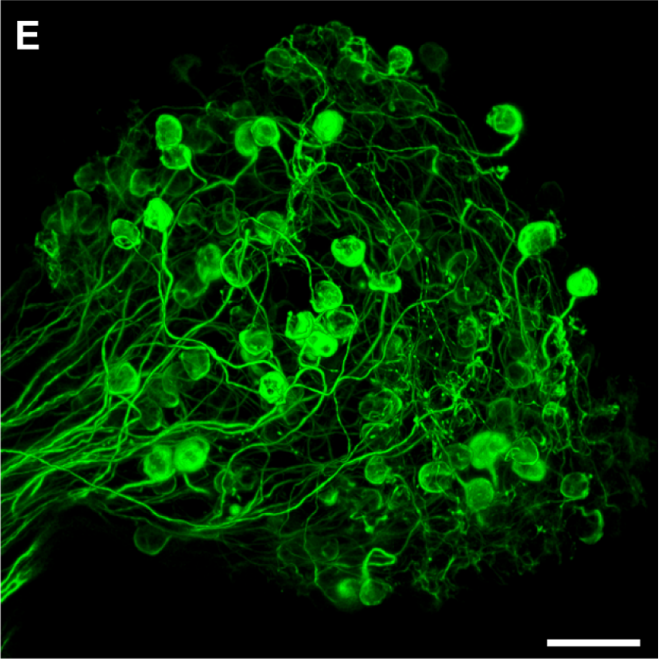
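Many thin green fibres enter as a bundle at the lower left and spread across the ganglion, branching and crossing one another. Many fibres end in bright cup- or claw-shaped endings, each wrapped around a rounded, unlabelled cell body. These endings are scattered through the ganglion, some in small clusters.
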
